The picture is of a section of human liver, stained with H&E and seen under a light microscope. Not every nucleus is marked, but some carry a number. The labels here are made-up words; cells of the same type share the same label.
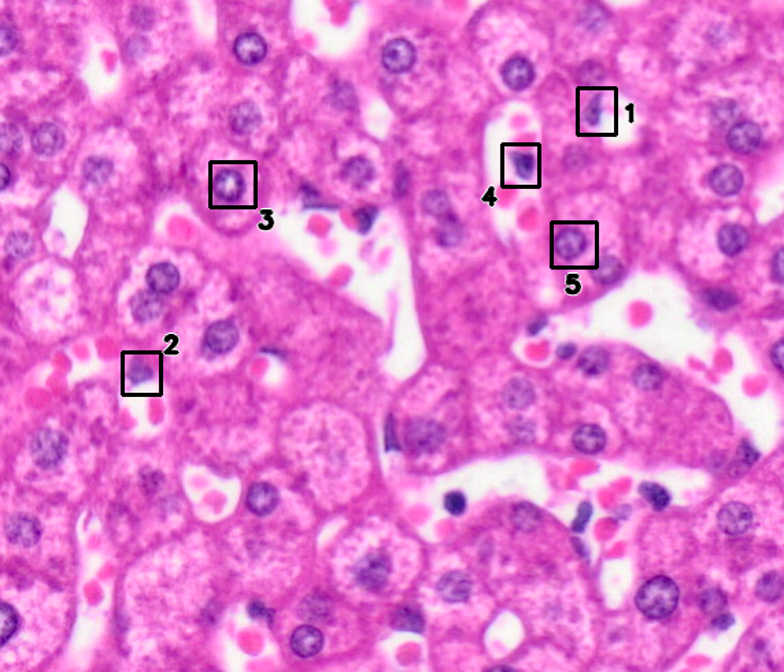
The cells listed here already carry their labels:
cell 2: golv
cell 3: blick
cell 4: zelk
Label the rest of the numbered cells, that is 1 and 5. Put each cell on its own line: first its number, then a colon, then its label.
1: golv
5: blick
